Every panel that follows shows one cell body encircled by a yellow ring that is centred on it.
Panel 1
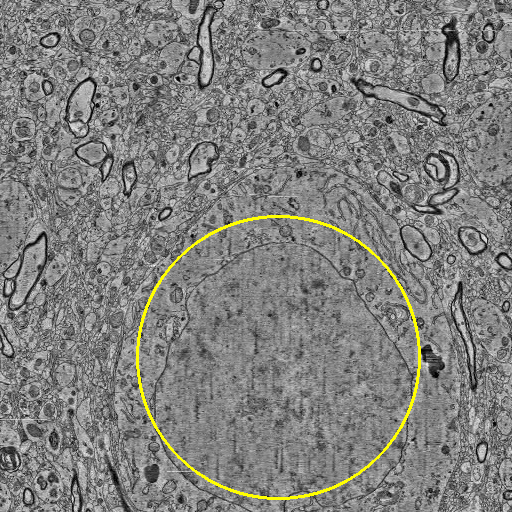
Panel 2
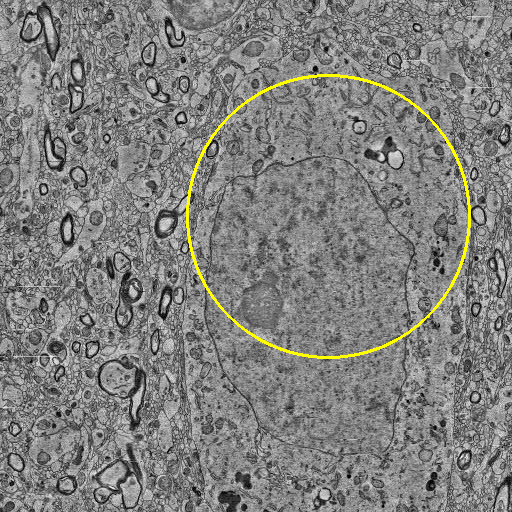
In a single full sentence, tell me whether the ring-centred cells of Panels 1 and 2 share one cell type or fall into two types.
In Panel 1 and Panel 2, the cells at the ring centres share one cell type.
